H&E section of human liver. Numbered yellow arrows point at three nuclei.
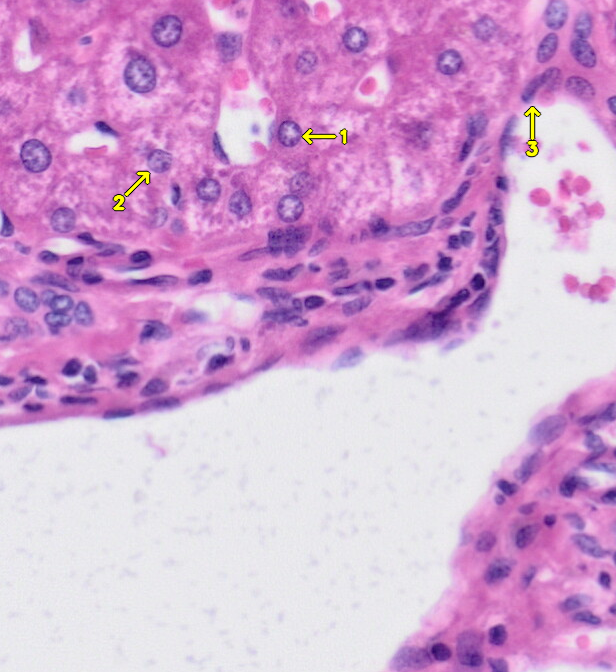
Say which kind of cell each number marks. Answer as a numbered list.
1. hepatocyte
2. hepatocyte
3. fibroblast or stellate cell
